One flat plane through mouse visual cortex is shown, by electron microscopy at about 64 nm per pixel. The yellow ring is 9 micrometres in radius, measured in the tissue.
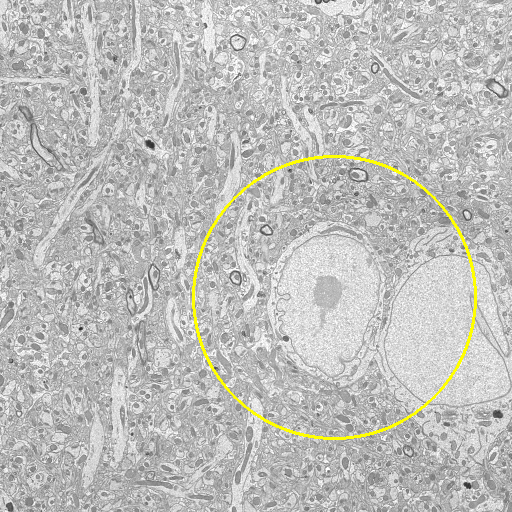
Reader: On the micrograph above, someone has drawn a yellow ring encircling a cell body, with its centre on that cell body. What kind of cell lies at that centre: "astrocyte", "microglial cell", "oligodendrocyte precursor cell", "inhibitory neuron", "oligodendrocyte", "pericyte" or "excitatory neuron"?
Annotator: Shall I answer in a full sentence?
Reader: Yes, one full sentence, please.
Here an inhibitory neuron sits at the centre of the yellow ring drawn on the micrograph.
